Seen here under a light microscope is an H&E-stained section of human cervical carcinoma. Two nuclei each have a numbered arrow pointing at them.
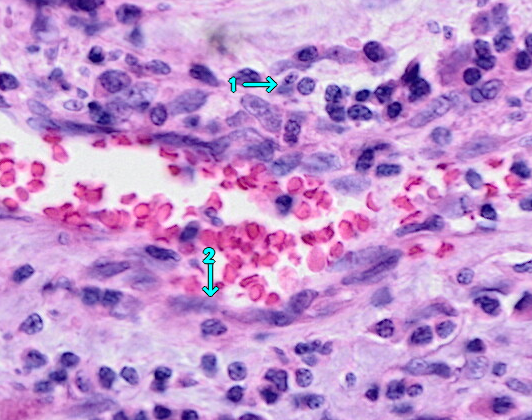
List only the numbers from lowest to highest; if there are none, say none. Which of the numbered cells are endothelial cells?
2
